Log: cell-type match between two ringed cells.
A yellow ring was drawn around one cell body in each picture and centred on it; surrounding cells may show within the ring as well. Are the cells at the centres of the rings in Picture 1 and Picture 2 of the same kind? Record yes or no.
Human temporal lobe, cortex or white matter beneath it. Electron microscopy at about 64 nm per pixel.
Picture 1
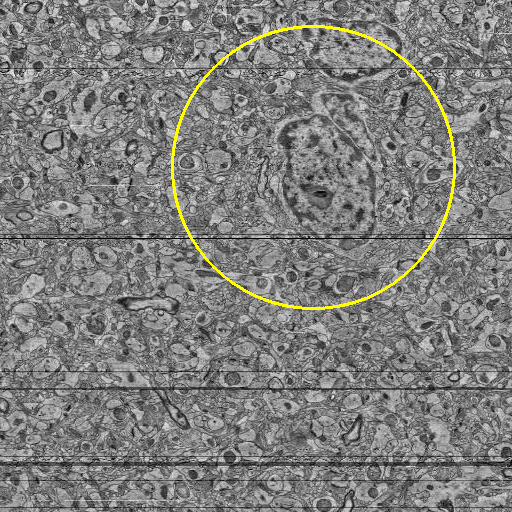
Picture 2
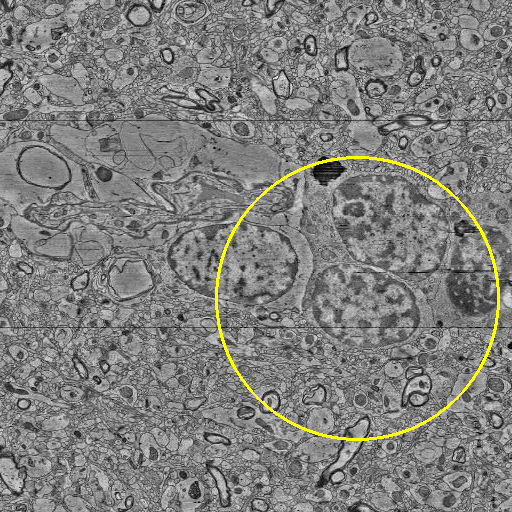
no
